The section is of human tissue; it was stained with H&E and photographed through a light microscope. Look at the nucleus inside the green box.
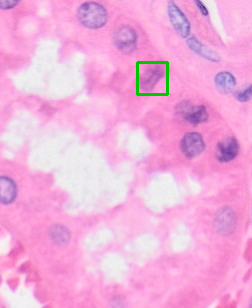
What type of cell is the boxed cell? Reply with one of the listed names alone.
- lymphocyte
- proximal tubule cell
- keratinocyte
proximal tubule cell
